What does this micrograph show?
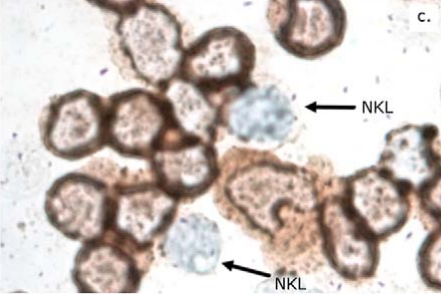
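A crowded field of round blood mononuclear cells, most of them labelled brown. In the labelled cells a dark brown ring outlines the cell surface, and the interior shows finer brown speckling. Two smaller round cells lack any brown label and appear pale blue-grey with a speckled texture; they lie among the brown cells. Near the centre a larger cell with an irregular, indented outline and paler, granular brown cytoplasm stands out from the round lymphocytes around it.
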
